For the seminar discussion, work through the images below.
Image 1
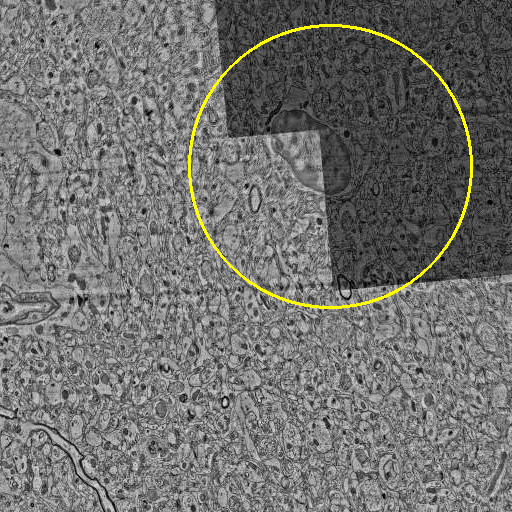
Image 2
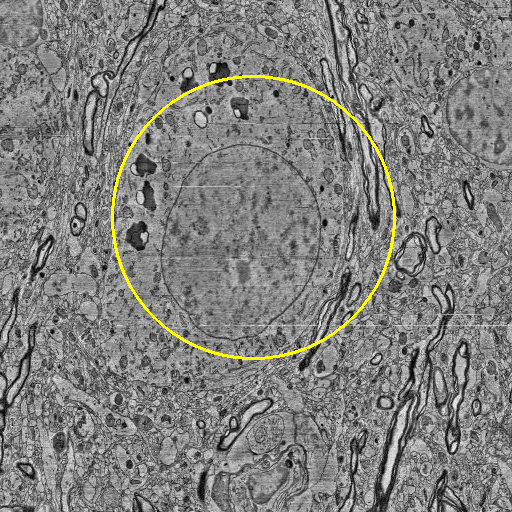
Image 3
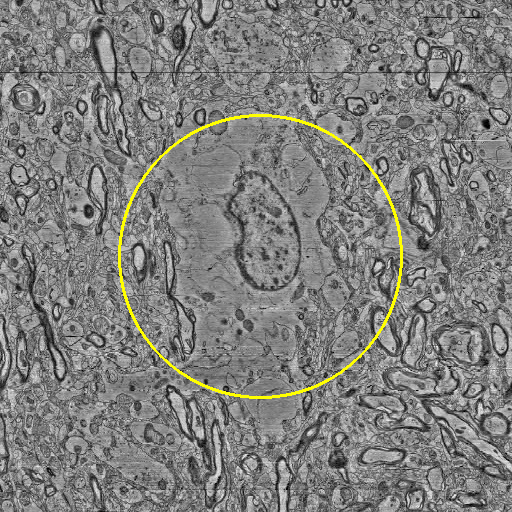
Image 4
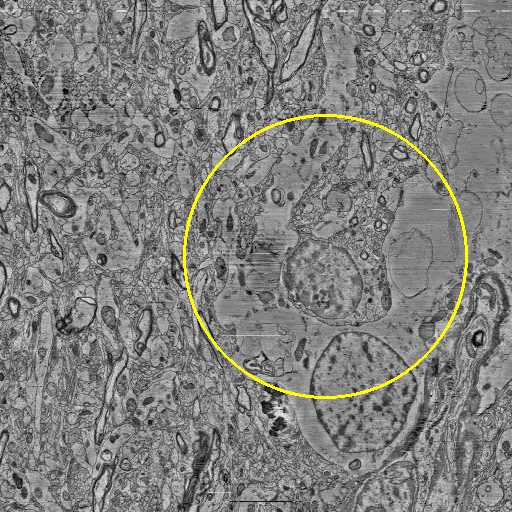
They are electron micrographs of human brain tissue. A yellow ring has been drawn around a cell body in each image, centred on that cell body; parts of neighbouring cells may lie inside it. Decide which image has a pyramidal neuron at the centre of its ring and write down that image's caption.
Image 2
